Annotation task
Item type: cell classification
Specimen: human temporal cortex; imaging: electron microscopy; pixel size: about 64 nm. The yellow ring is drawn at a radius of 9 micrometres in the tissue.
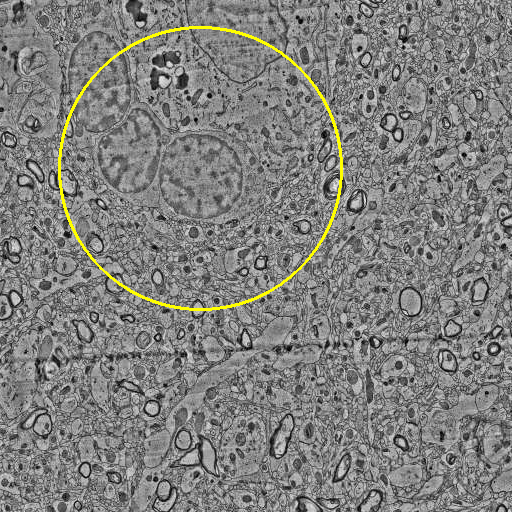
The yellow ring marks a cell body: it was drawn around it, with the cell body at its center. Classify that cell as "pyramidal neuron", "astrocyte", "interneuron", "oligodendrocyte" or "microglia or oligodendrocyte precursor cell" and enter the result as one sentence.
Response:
The ring's center falls on an oligodendrocyte.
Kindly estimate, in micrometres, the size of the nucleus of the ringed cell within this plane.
The nucleus is approximately 6 micrometers long by 5 micrometers wide in this plane.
